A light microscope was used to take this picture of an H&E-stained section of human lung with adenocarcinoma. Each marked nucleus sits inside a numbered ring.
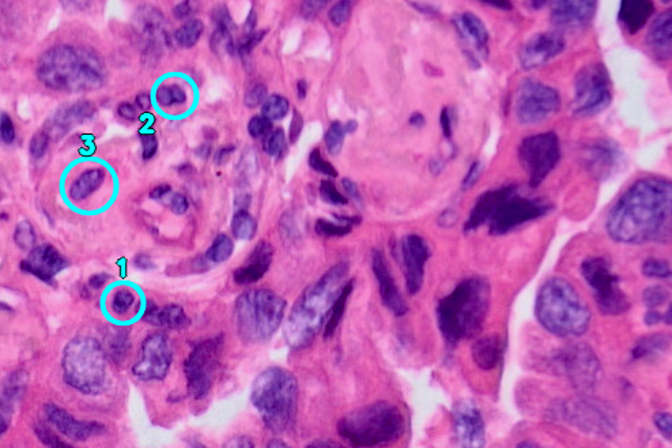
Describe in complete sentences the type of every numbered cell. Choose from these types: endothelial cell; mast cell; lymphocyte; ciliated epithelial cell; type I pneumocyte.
Cell 1 is a lymphocyte, cell 2 is a lymphocyte and cell 3 is a mast cell.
